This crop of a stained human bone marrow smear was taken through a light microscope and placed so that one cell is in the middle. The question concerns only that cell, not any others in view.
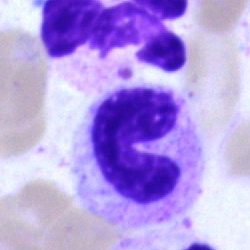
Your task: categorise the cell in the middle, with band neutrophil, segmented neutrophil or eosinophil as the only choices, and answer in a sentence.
By type, the central cell of the crop is a band neutrophil.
